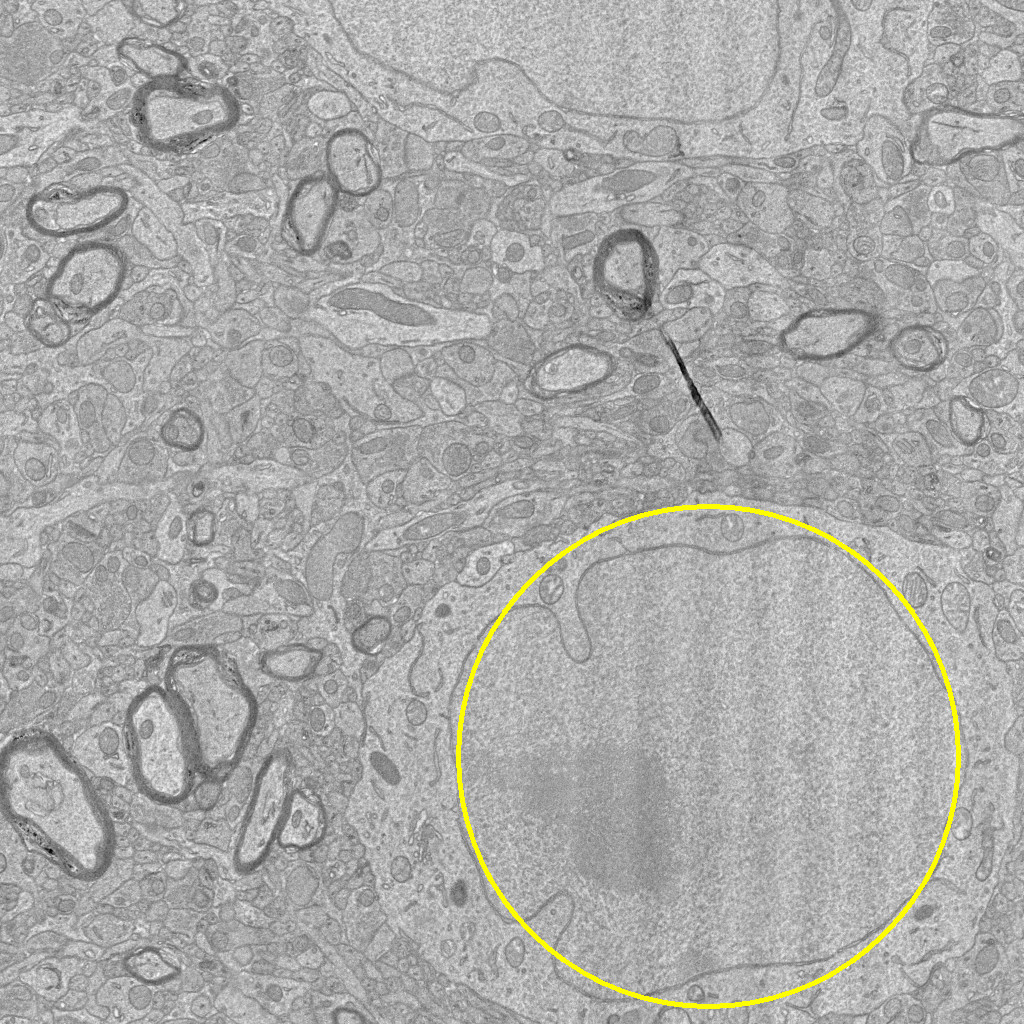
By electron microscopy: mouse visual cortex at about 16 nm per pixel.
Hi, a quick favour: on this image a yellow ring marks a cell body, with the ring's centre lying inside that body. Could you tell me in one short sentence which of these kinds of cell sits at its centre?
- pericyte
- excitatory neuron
The ring's centre lies in an excitatory neuron.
